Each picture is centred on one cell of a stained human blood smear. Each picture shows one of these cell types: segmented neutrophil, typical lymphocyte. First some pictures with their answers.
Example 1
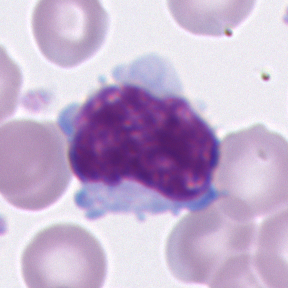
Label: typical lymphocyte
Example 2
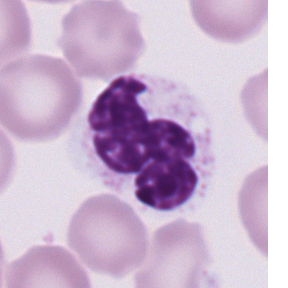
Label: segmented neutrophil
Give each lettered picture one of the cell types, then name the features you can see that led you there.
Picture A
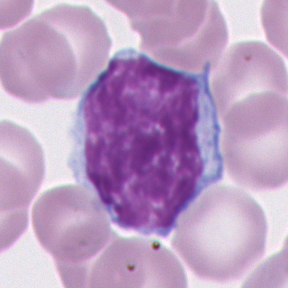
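Label: typical lymphocyte. The cytoplasm forms only a narrow rim around the nucleus.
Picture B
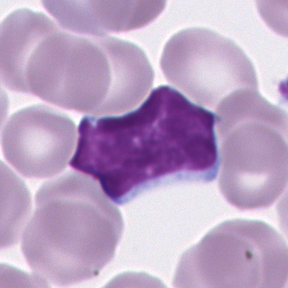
Label: typical lymphocyte. The nucleus is a single unlobed mass.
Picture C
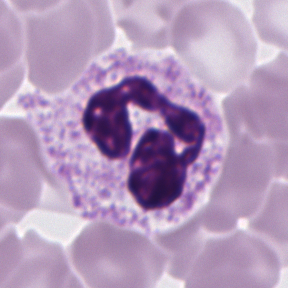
Label: segmented neutrophil. The nucleus is divided into several lobes.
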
